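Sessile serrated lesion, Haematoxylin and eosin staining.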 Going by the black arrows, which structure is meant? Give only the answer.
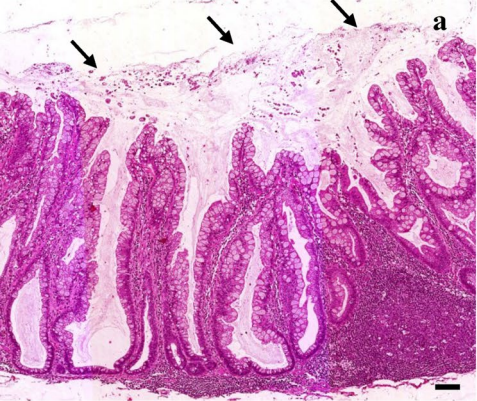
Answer: Mucous cap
